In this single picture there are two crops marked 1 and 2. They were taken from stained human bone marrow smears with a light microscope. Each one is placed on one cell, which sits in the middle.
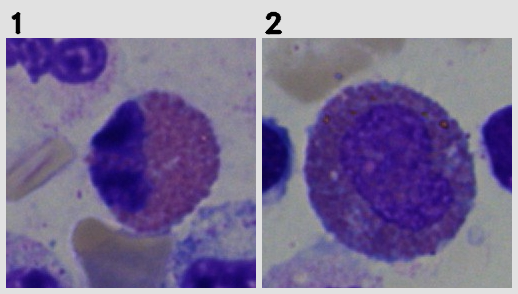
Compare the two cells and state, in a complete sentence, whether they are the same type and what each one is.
Yes, that holds, both crops show eosinophils.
